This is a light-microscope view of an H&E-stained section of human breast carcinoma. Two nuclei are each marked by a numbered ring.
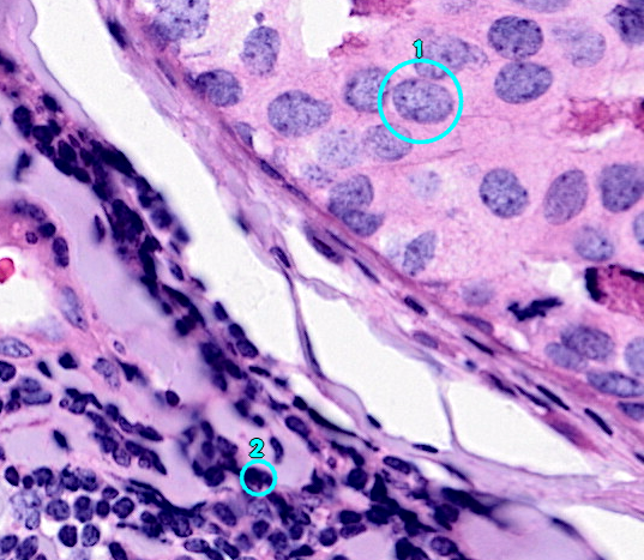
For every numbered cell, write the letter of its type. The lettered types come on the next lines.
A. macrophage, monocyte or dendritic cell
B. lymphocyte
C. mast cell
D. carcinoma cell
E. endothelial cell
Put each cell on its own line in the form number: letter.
1: D
2: B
